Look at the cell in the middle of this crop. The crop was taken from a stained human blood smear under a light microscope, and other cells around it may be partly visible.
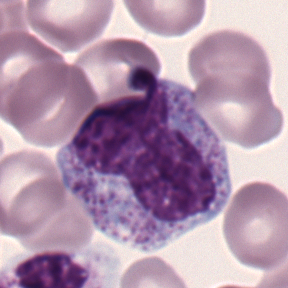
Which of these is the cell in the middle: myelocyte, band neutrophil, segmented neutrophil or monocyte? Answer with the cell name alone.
myelocyte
